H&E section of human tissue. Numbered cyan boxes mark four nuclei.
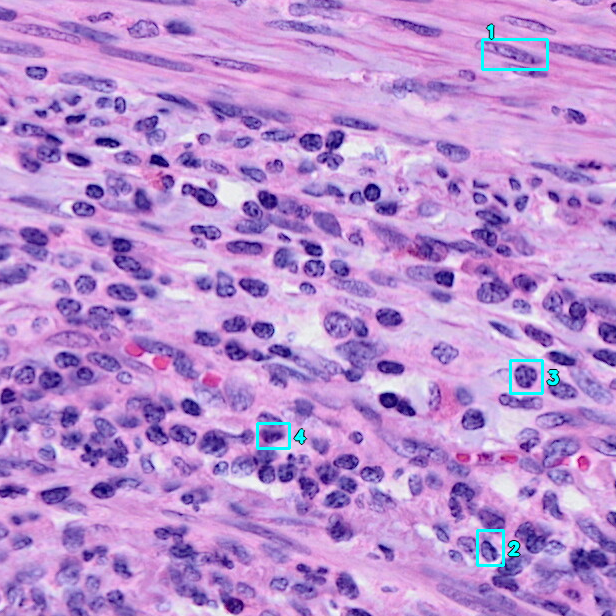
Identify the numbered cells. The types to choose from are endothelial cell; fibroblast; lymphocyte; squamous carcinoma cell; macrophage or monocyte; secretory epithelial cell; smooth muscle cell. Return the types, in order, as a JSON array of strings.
["smooth muscle cell", "lymphocyte", "lymphocyte", "lymphocyte"]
